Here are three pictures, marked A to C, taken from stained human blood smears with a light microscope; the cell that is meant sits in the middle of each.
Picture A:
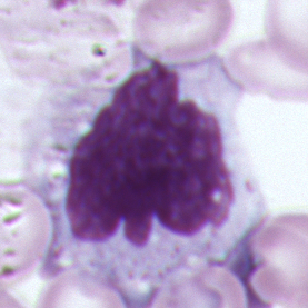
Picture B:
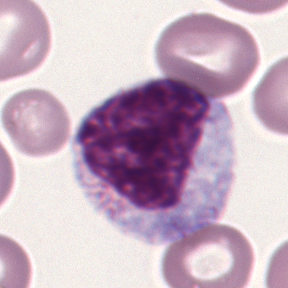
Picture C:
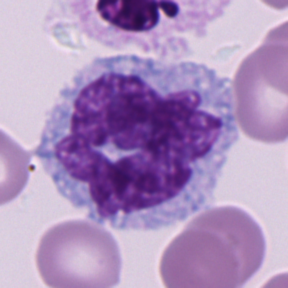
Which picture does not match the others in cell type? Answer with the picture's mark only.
B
